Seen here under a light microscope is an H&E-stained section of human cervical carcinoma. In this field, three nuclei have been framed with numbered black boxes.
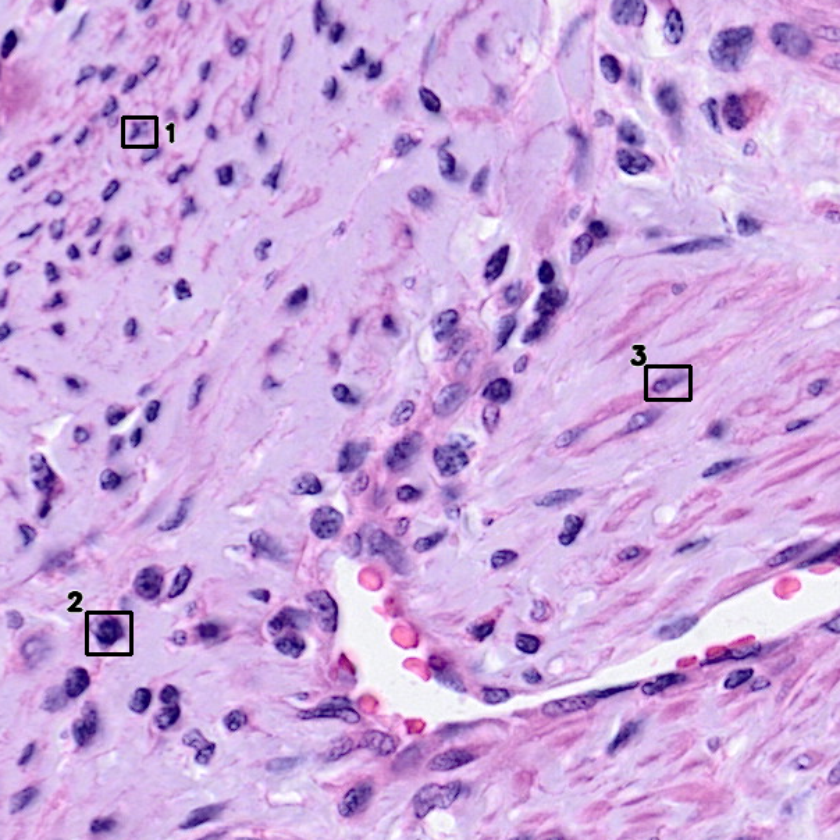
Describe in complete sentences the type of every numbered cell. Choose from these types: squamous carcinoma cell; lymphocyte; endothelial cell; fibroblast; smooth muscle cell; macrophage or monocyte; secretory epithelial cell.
Cell 1 is a smooth muscle cell, cell 2 is a lymphocyte and cell 3 is a smooth muscle cell.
